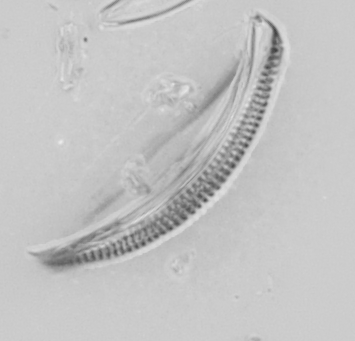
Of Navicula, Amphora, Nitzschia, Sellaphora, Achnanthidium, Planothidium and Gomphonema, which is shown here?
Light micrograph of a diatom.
Amphora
